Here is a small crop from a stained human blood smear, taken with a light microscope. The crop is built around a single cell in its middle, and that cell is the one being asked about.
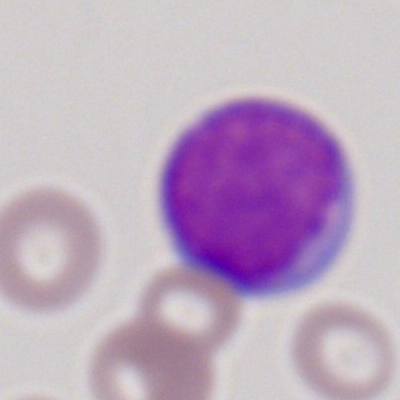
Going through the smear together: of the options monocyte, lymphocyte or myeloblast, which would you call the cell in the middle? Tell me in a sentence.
The cell in the exact centre of the crop is a myeloblast.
